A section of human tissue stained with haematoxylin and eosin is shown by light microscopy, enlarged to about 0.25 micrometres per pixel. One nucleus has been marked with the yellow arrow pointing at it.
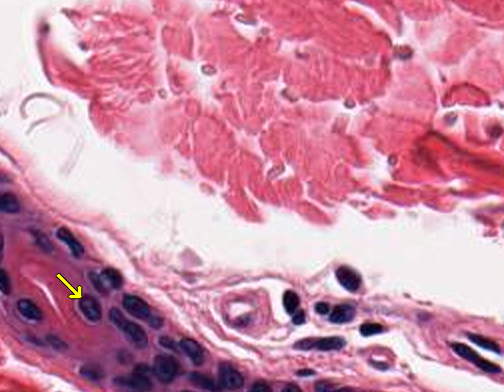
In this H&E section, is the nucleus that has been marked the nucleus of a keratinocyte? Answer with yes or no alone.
yes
